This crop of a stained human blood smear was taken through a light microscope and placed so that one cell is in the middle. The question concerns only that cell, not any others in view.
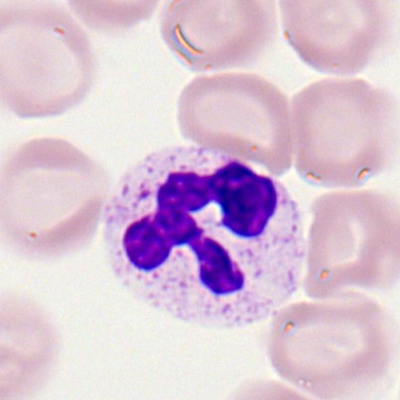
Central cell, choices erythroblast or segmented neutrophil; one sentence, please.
In this crop, the cell at the very middle is a segmented neutrophil.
